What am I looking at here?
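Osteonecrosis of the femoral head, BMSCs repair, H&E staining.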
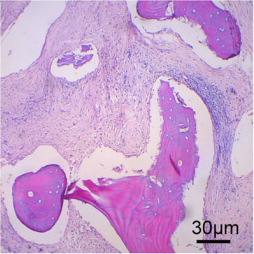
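This section shows broad trabeculae of bone, stained deep pink to purple, together with fibrous connective tissue. Between the trabeculae lies cellular, pale pink fibrous tissue with numerous small dark nuclei. Clear empty spaces separate several of the bone pieces from the surrounding tissue.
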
